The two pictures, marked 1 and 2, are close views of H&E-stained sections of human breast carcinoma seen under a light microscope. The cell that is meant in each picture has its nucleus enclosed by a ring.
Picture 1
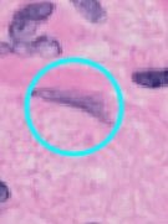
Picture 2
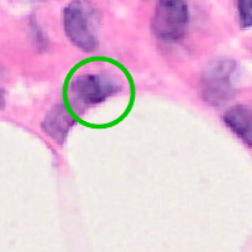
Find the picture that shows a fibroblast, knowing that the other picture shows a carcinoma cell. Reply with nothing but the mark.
1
